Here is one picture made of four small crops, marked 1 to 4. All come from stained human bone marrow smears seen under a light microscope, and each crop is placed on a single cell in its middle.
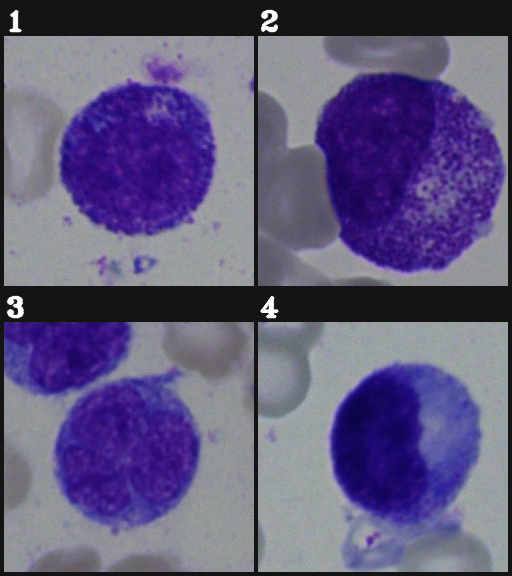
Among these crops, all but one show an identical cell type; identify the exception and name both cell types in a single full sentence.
Crop 3 stands apart as a blast, whereas the remaining crops all show myelocytes.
